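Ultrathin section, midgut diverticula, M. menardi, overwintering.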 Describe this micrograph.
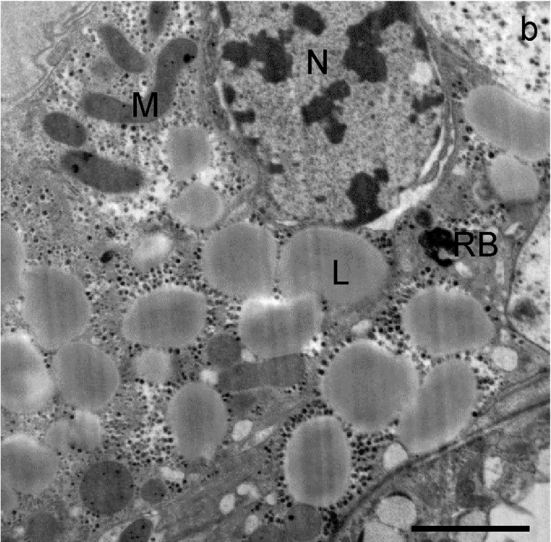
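Here the adipocyte cytoplasm is dominated by a cluster of large, pale grey lipid droplets lying close together, some with faint banding. Between them the cytoplasm is studded with many small dark granules. Above lies a nucleus with large clumps of dark condensed chromatin, and beside it several elongated mitochondria. A small dark, irregular residual body lies near the nucleus, and boundaries with neighbouring cells run across the right side.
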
